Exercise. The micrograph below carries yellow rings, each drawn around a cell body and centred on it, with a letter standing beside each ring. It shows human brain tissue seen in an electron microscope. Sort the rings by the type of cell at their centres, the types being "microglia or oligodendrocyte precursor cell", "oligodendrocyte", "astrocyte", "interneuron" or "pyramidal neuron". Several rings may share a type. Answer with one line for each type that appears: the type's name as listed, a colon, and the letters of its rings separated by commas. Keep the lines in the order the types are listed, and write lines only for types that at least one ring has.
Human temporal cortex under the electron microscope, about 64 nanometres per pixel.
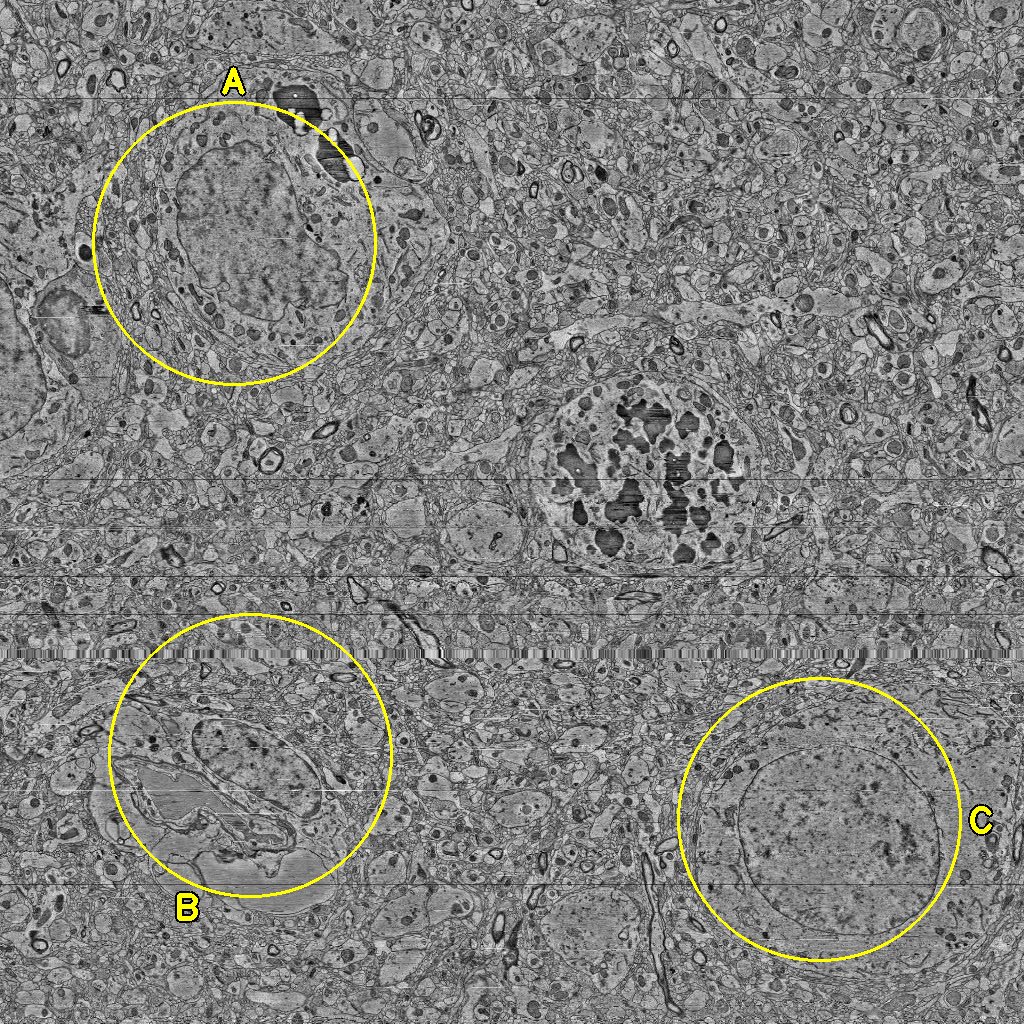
microglia or oligodendrocyte precursor cell: B
interneuron: A
pyramidal neuron: C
